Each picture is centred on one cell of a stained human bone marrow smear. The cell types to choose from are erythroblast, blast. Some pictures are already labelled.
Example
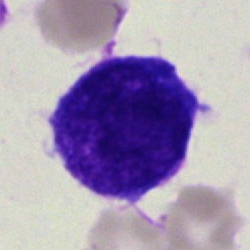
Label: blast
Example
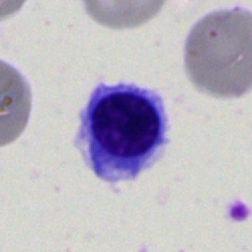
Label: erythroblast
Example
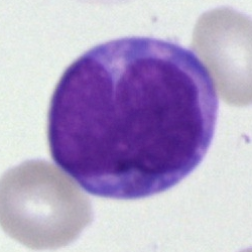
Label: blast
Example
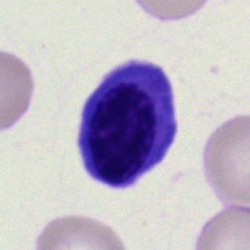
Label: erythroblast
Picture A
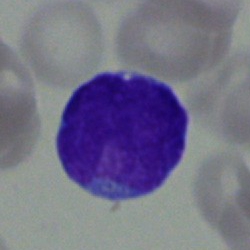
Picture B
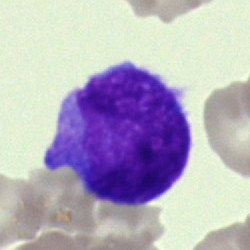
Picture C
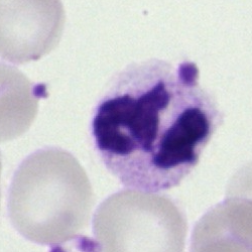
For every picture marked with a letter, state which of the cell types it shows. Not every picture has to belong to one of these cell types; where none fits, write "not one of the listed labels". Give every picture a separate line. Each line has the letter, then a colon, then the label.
A: blast
B: blast
C: not one of the listed labels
